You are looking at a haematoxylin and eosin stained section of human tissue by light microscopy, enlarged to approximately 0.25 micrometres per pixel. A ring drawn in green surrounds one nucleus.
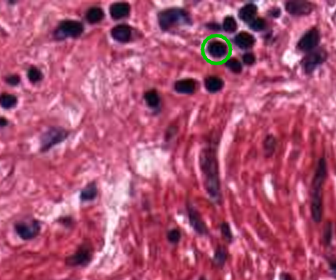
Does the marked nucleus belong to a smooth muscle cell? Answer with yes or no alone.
no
